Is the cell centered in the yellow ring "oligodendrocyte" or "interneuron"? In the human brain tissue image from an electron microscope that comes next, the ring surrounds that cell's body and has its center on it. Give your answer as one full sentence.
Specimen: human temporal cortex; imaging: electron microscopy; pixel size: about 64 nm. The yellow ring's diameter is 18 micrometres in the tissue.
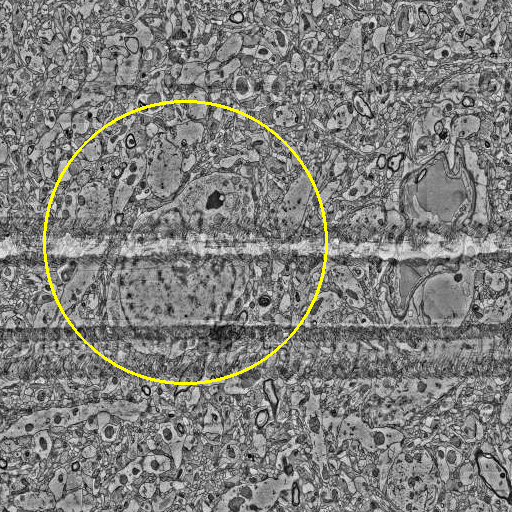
The cell at the center of the yellow ring is an interneuron in the micrograph.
